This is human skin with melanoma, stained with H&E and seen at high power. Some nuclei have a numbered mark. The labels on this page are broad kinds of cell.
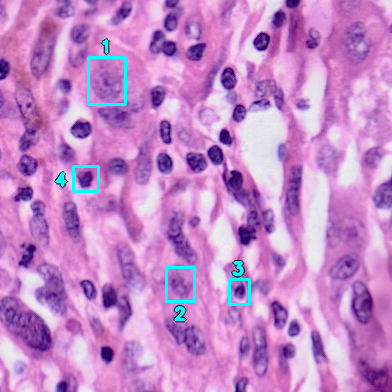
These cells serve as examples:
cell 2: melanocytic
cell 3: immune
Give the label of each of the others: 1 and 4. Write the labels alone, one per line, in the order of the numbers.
melanocytic
immune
